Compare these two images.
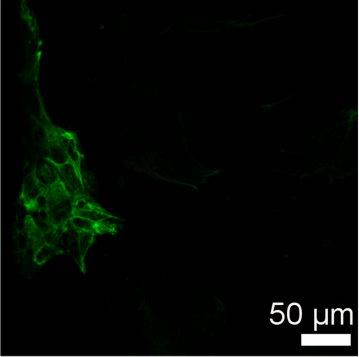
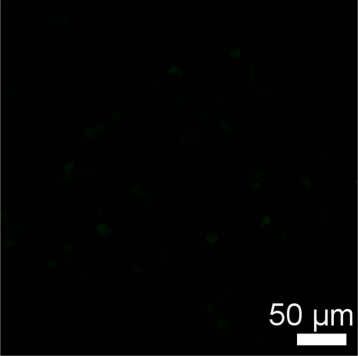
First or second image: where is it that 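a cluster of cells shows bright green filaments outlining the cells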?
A: The first image.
